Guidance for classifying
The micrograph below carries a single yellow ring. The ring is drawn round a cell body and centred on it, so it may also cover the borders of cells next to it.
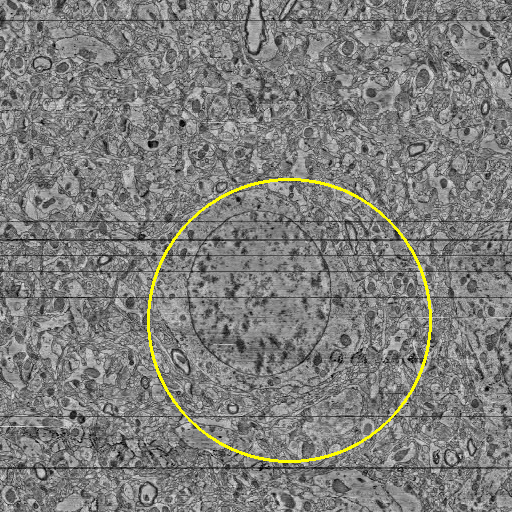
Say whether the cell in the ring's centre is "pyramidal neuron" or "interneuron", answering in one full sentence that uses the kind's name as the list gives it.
Within the yellow ring, a pyramidal neuron is the cell whose body sits at the centre.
